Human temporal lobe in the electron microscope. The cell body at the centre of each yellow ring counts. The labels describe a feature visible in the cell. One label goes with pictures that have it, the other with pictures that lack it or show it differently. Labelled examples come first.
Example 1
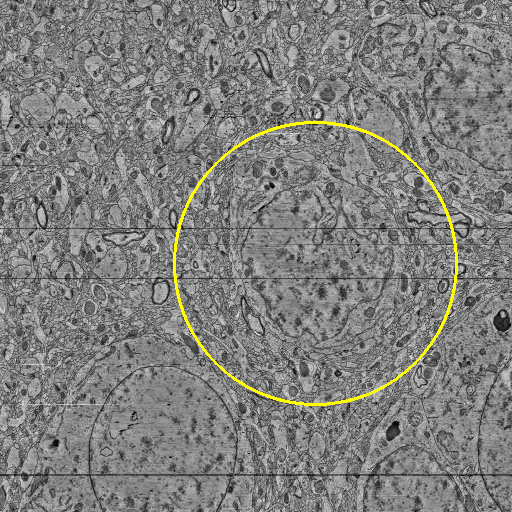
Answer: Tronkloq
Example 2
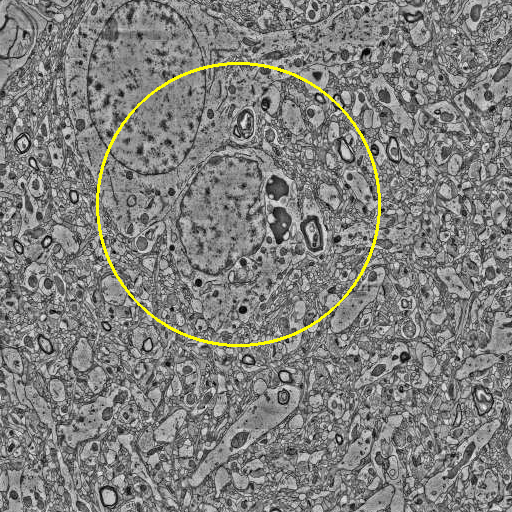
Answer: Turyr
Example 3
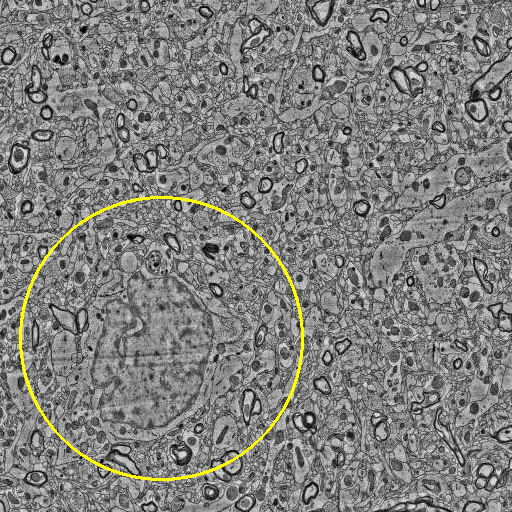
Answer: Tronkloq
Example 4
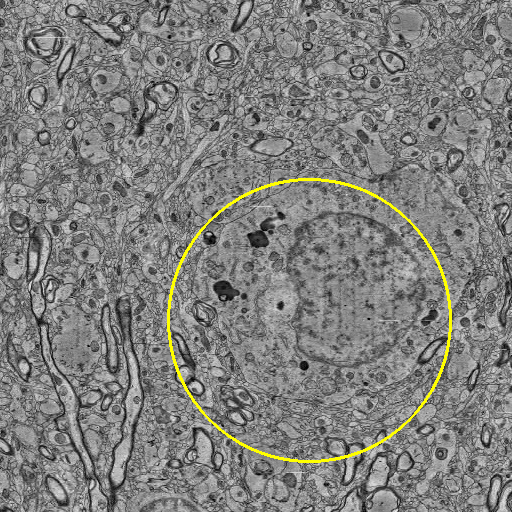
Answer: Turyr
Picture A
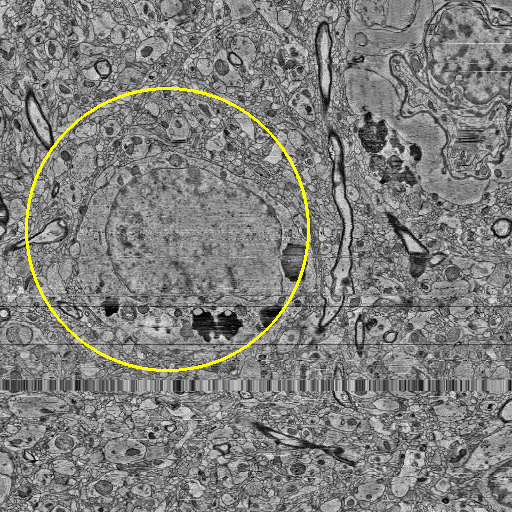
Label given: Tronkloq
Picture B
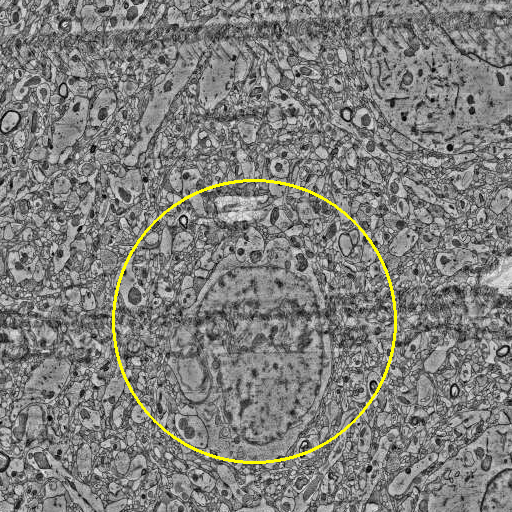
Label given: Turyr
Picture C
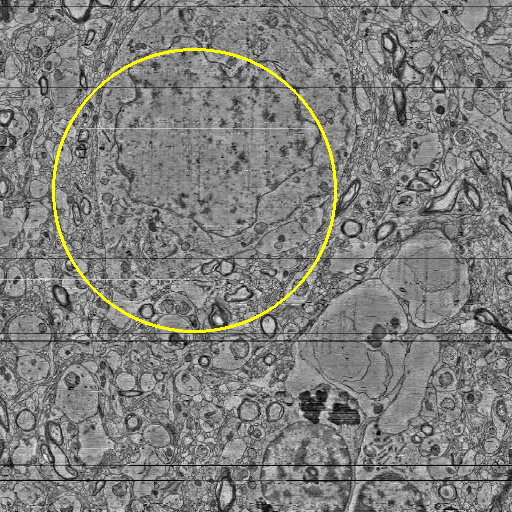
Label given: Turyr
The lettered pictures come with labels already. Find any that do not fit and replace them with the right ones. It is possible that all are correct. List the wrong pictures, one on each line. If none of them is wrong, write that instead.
A: change Tronkloq to Turyr
C: change Turyr to Tronkloq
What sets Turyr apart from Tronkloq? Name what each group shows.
Seen in Turyr: smooth nuclear envelopes without deep folds; seen in Tronkloq: deeply folded or indented nuclear envelopes.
